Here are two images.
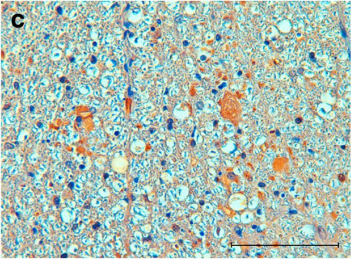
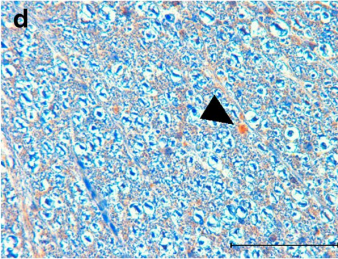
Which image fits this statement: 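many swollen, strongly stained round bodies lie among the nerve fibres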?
the first image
